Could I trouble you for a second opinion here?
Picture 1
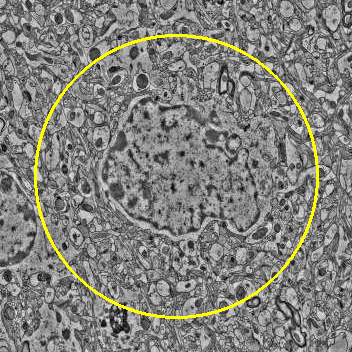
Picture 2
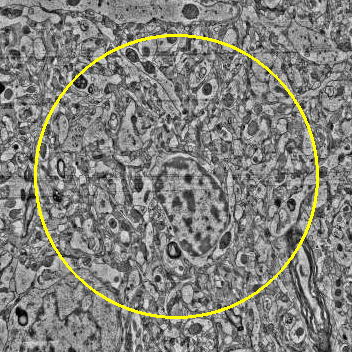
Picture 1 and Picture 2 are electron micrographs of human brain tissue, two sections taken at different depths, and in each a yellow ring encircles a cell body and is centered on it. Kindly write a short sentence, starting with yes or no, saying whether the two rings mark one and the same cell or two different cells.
No, the two yellow rings correspond to two separate cells.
